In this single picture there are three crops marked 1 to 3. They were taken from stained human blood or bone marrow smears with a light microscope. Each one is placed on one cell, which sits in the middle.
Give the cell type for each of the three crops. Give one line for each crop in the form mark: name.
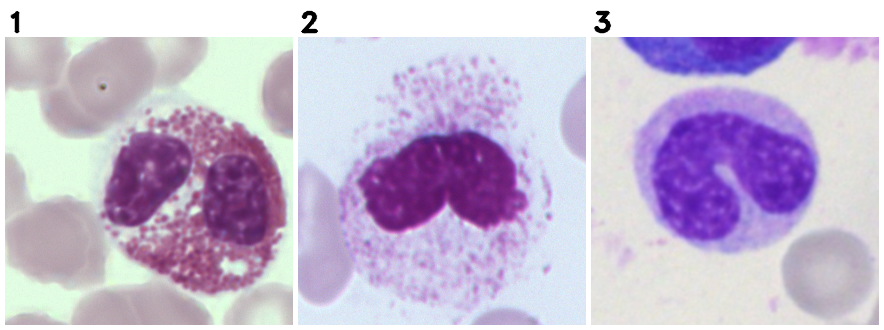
1: eosinophil
2: band neutrophil
3: band neutrophil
